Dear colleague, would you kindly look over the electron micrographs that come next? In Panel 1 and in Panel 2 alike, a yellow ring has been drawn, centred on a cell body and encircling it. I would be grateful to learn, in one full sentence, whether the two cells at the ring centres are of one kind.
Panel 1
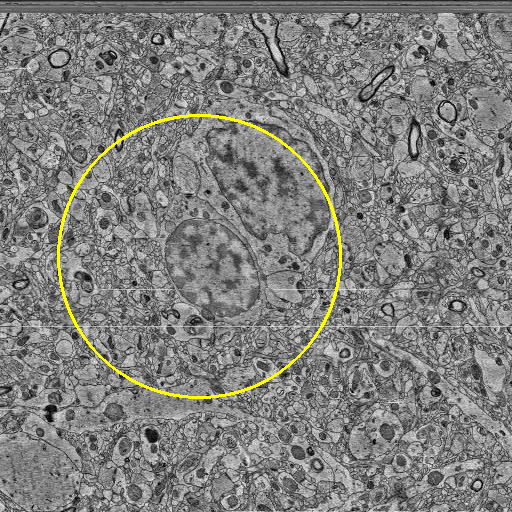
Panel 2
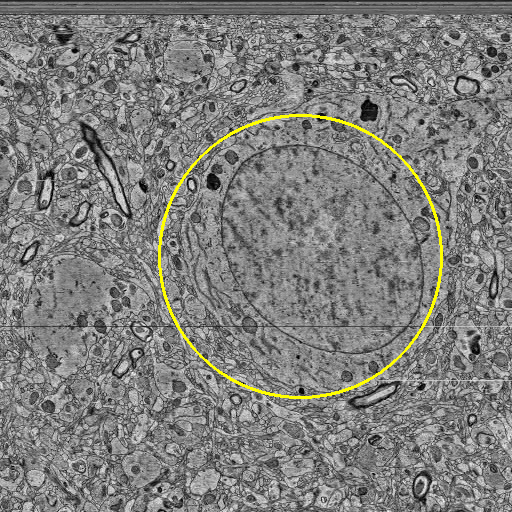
No, the cells in the middle of the rings in the two panels are of two kinds.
